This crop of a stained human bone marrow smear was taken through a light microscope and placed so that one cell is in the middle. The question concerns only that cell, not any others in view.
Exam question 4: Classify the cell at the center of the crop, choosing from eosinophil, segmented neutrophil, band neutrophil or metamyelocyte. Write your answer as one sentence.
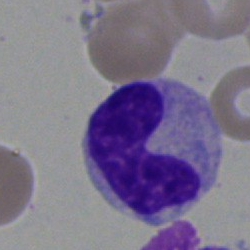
The cell occupying the middle of the crop is a band neutrophil.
